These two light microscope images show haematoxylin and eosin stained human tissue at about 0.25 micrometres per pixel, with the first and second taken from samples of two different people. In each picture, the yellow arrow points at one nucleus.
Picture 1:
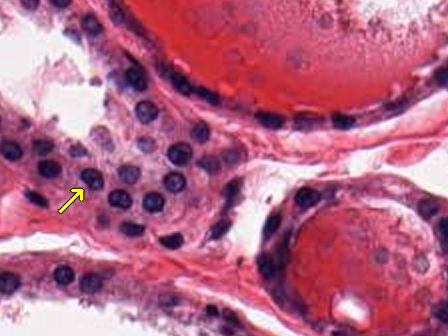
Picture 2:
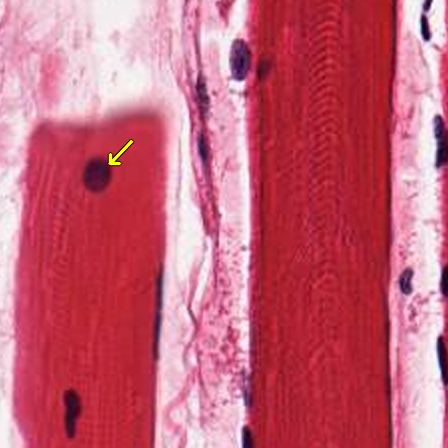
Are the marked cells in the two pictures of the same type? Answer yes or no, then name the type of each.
No, the first is a thyroid follicular cell and the second a skeletal muscle fibre.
